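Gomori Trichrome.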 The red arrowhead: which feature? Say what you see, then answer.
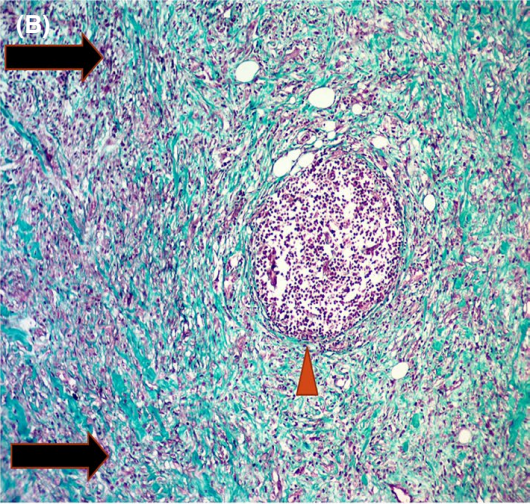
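Lymphoid follicle. A round, sharply bounded cluster of densely packed small dark nuclei. The cluster sits within green-stained fibrous tissue.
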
